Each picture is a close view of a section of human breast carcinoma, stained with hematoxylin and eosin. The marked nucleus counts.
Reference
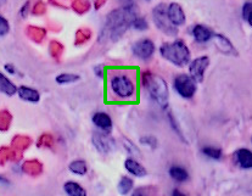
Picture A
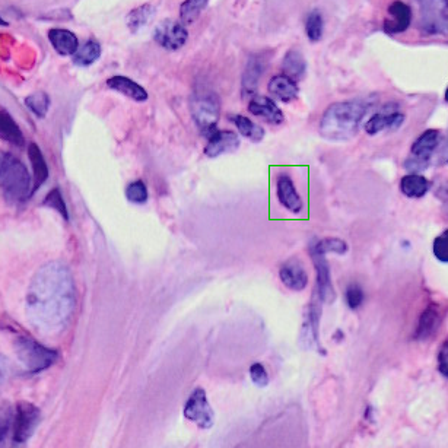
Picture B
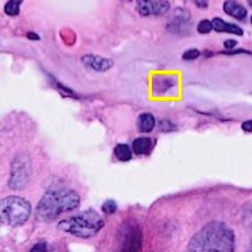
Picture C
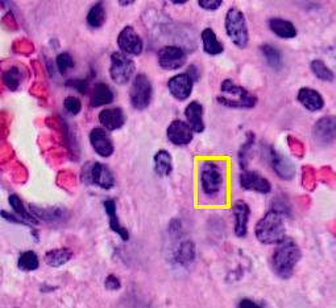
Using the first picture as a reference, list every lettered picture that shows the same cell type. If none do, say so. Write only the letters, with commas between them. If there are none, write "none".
A, B, C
